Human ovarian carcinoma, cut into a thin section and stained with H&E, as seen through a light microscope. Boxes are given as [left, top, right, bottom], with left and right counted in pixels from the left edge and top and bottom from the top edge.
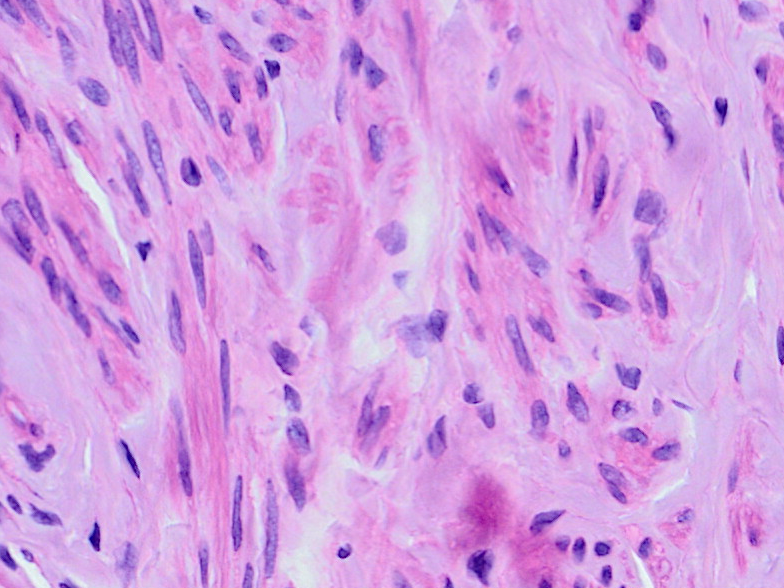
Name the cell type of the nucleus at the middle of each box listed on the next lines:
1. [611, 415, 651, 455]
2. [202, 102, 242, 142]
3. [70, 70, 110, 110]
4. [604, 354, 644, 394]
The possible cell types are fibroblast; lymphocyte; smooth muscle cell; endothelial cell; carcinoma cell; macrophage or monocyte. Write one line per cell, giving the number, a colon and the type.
1: smooth muscle cell
2: smooth muscle cell
3: smooth muscle cell
4: fibroblast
